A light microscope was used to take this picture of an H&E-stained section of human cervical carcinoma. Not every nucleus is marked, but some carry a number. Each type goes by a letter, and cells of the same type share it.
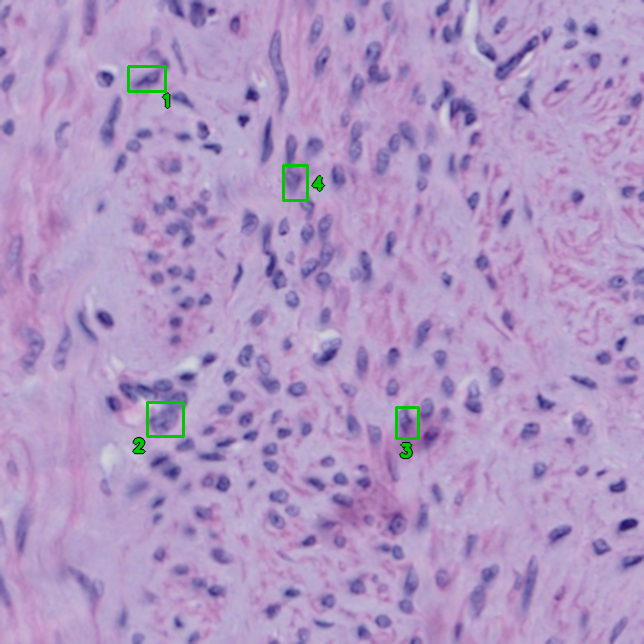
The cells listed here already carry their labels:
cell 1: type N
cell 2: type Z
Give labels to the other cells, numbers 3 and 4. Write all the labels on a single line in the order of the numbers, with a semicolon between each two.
type N; type N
